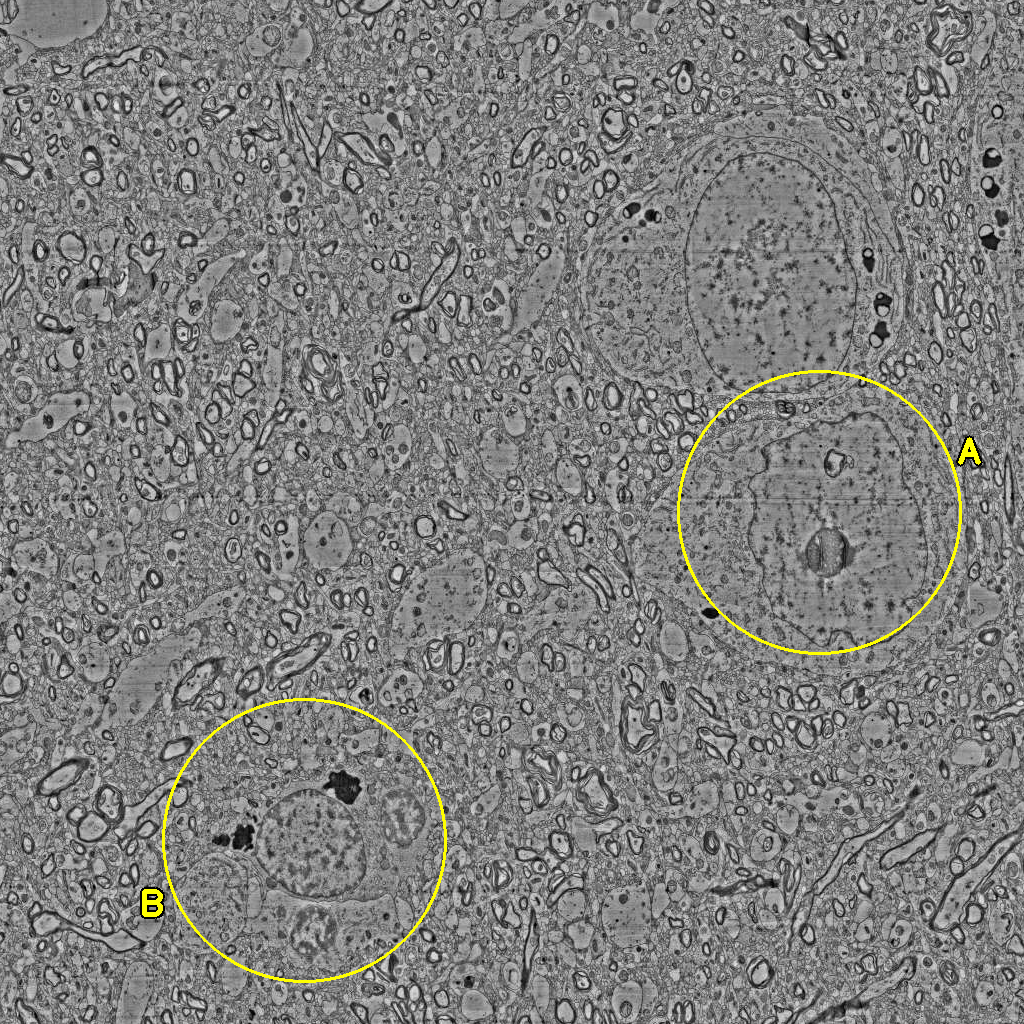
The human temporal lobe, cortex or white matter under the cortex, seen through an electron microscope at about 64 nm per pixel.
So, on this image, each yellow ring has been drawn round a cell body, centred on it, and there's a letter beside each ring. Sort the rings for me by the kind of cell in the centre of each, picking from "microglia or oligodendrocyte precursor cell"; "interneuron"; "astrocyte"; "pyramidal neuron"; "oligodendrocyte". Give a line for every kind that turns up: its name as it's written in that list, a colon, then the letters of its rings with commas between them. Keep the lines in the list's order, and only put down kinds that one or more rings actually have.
pyramidal neuron: A
oligodendrocyte: B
